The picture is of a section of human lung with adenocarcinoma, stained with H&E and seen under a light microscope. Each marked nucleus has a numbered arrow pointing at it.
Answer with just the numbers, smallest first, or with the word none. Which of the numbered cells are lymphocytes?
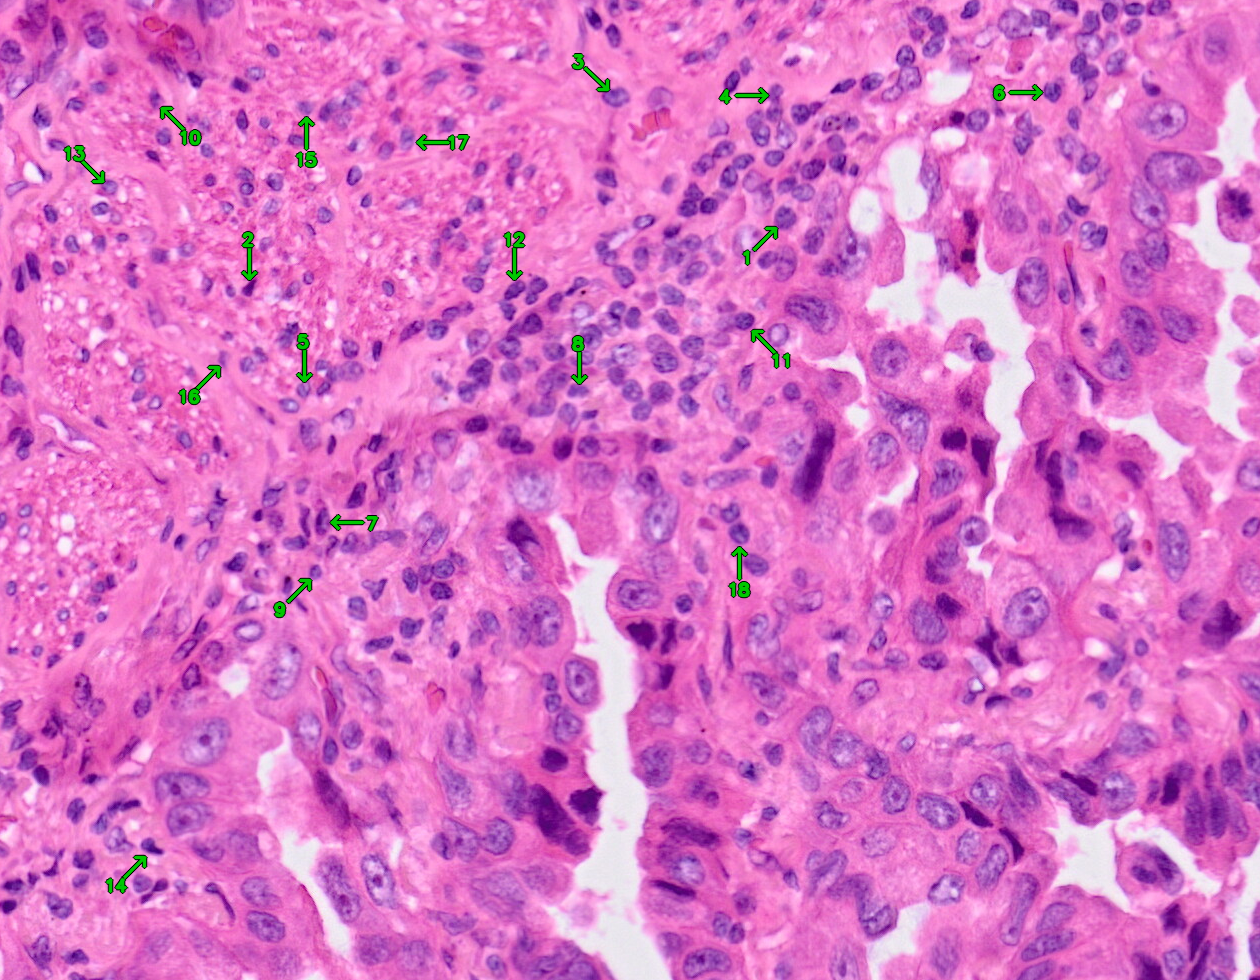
1, 4, 6, 8, 9, 11, 12, 14, 18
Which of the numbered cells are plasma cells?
7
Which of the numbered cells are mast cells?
3, 16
